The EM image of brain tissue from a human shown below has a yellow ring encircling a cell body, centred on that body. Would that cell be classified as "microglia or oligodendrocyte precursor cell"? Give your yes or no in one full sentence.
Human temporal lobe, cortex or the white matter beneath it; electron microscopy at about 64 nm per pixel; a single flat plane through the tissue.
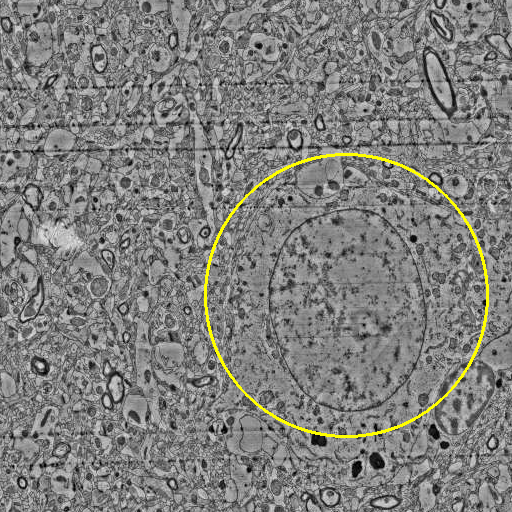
No, the cell at the centre of the ring in the picture falls in another class.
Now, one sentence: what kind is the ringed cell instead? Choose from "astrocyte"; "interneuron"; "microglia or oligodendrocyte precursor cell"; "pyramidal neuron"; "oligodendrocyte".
The cell marked by the ring is a pyramidal neuron.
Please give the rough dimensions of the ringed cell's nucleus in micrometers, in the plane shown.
Roughly 13 by 10 micrometres is the size of the nucleus in this plane.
